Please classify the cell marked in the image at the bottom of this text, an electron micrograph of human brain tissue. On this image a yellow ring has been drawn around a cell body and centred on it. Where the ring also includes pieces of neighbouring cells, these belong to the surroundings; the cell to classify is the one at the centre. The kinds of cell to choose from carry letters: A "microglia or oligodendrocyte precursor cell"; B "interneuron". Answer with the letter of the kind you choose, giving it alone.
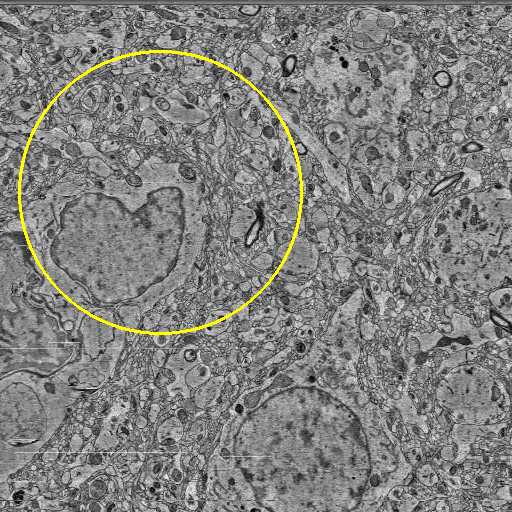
A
